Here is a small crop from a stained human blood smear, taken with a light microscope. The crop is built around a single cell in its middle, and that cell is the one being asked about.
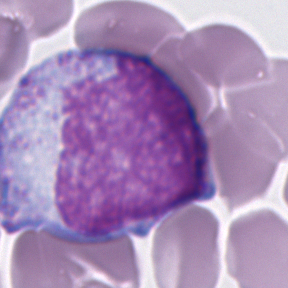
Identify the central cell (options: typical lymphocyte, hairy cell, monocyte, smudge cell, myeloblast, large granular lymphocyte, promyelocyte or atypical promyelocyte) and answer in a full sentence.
The cell nearest the centre of this crop is a promyelocyte.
